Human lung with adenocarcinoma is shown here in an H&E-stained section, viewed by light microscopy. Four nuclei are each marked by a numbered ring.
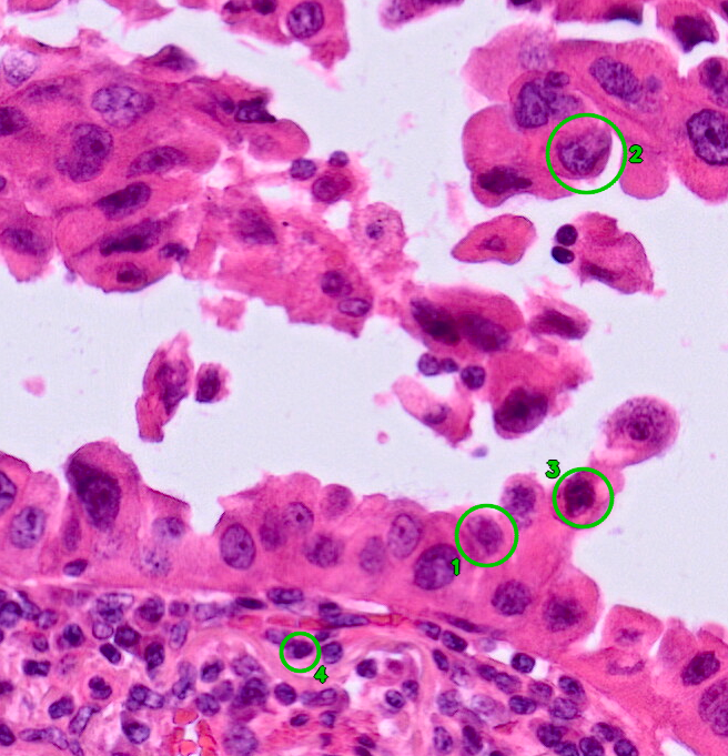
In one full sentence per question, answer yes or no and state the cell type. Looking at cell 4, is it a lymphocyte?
Yes, the cell that goes by number 4 is a lymphocyte.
